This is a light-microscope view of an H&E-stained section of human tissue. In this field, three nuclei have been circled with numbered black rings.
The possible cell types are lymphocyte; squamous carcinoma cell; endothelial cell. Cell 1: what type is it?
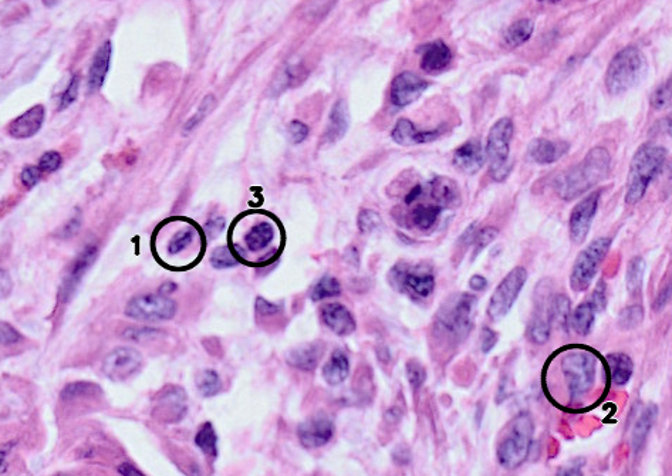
lymphocyte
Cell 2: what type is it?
endothelial cell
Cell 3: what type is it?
lymphocyte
